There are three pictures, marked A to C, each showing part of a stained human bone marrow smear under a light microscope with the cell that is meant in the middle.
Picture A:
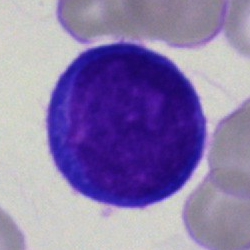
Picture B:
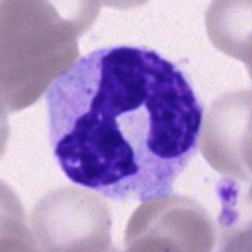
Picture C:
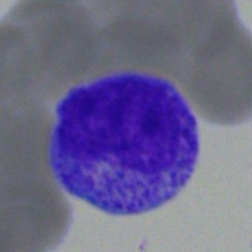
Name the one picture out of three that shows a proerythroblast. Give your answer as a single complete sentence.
The cell in picture A is the proerythroblast.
